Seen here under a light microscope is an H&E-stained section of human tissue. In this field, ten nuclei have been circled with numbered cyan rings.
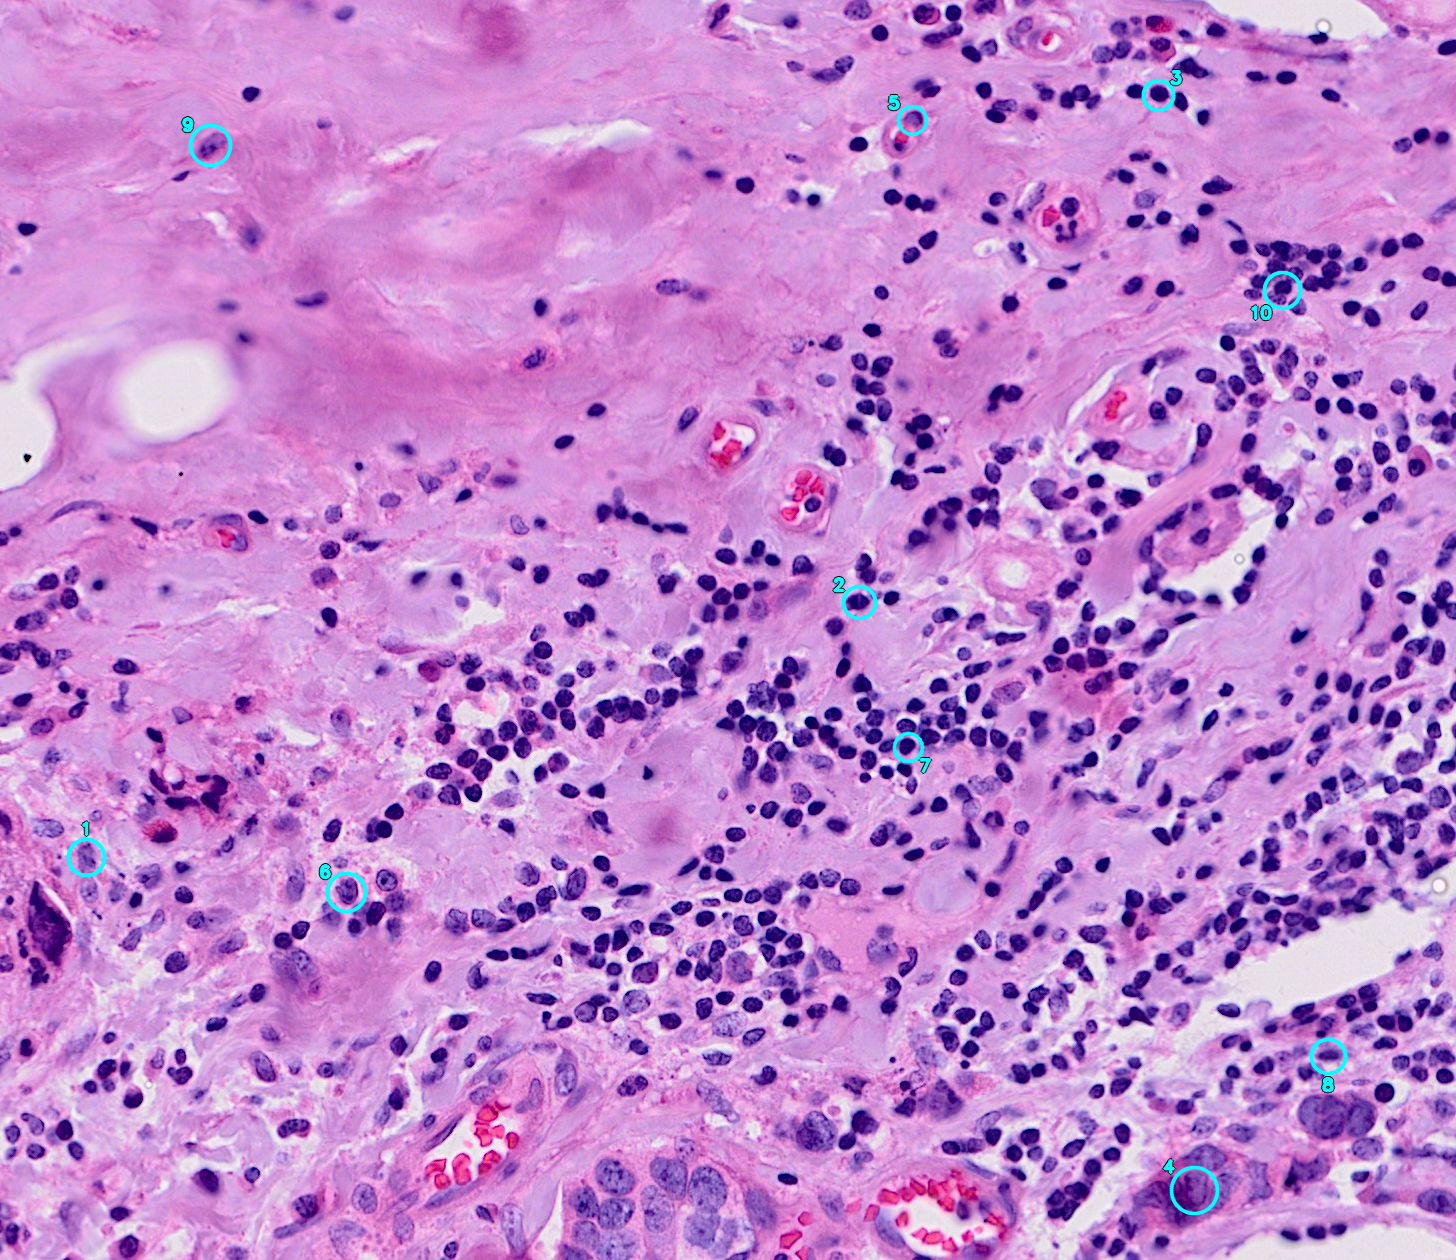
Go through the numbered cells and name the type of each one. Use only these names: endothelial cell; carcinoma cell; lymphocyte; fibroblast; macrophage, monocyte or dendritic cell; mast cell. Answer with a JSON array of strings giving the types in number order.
["macrophage, monocyte or dendritic cell", "lymphocyte", "lymphocyte", "carcinoma cell", "endothelial cell", "lymphocyte", "lymphocyte", "lymphocyte", "mast cell", "lymphocyte"]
